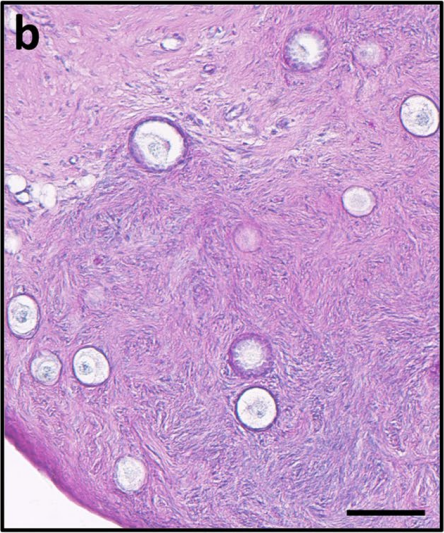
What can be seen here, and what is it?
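Ovarian cortical tissue in magenta and purple, with small follicles scattered through a dense stroma. Some profiles appear partly cleared or shrunken within their rim. Follicles differ a little in size, and the largest are still small. The stroma between them consists of densely packed spindle-shaped cells with small elongated dark nuclei, arranged in swirling bundles. Along one edge the tissue ends in a smooth, more uniformly stained border.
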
